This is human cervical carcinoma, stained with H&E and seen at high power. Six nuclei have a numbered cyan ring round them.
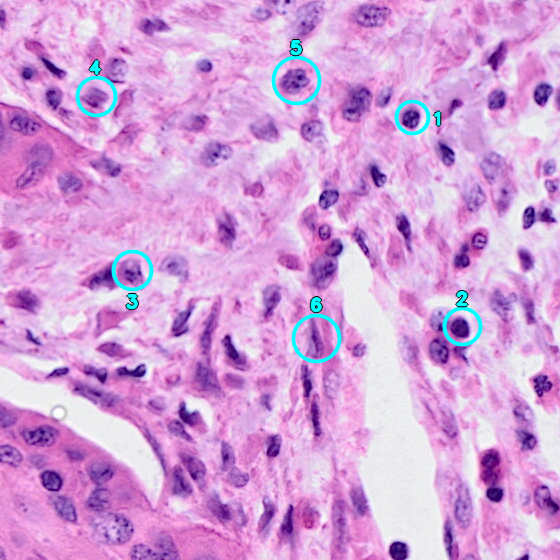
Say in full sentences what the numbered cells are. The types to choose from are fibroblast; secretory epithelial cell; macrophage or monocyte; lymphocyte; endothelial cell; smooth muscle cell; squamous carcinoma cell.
Cell 1 is a lymphocyte, cell 2 is a lymphocyte, cell 3 is a macrophage or monocyte, cell 4 is a fibroblast, cell 5 is a macrophage or monocyte and cell 6 is a fibroblast.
